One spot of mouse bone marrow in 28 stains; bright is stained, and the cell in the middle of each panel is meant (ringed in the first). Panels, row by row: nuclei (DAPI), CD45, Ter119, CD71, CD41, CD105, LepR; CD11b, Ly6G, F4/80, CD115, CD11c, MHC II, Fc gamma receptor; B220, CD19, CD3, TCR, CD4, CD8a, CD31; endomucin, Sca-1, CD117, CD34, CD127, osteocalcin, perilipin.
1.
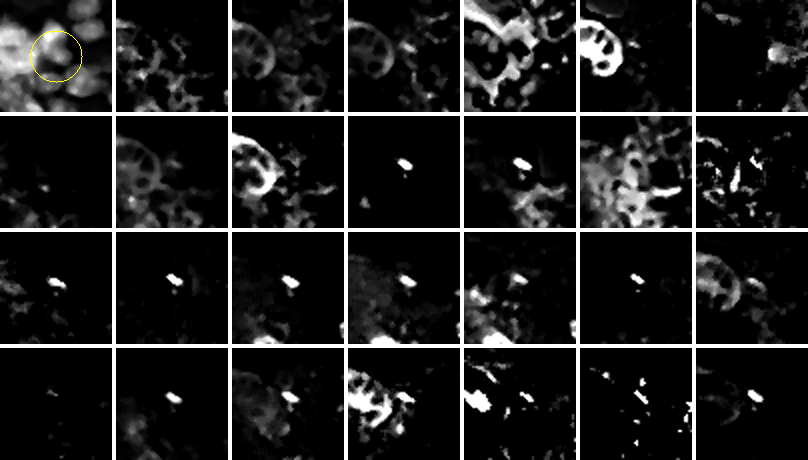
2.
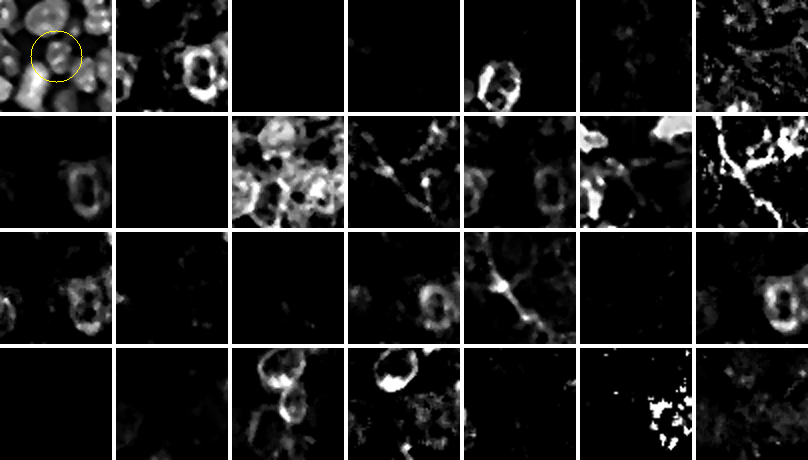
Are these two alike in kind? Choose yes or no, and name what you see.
No. First an erythroid progenitor (CFU-E), second a granulocyte-monocyte progenitor.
